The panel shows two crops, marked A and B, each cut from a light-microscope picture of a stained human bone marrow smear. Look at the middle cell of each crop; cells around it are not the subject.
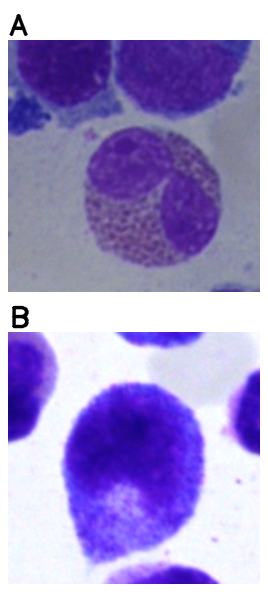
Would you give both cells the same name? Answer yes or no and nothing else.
no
